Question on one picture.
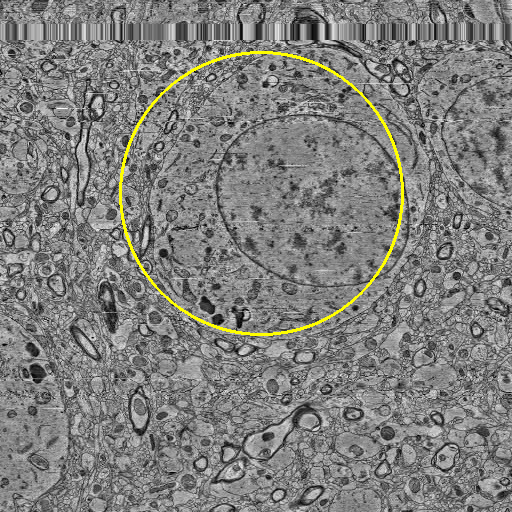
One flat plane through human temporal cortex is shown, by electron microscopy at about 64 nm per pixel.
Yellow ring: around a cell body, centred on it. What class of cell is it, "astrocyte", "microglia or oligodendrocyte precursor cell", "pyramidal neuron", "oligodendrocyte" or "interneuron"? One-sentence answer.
This is a pyramidal neuron, the cell the ring is centred on.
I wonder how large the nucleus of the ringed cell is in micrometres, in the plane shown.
In this plane the nucleus spans approximately 13 by 11 micrometers.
